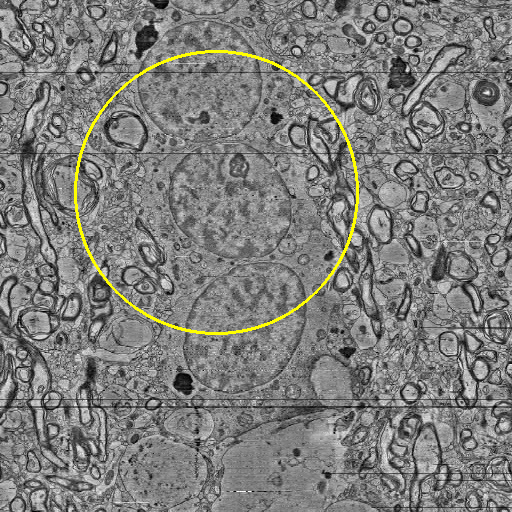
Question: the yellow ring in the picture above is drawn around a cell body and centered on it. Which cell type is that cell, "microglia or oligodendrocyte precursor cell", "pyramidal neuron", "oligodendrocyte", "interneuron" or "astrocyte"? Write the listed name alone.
oligodendrocyte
